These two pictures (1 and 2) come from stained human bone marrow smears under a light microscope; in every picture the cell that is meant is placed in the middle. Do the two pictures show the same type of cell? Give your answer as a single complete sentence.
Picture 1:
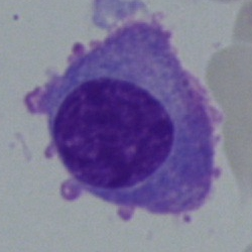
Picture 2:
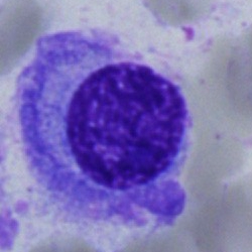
Yes, both cells are plasma cells.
